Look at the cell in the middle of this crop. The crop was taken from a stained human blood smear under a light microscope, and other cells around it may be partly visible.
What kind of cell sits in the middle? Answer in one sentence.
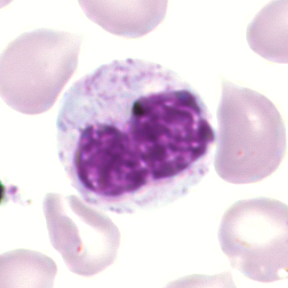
The cell at the central position in this crop is a band neutrophil.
